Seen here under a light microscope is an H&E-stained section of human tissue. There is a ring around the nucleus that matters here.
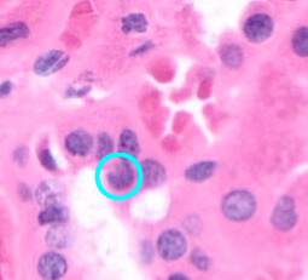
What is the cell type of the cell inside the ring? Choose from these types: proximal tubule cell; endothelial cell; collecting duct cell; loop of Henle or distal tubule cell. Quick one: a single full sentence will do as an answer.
As a matter of cell type, the cell inside the ring is a collecting duct cell.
